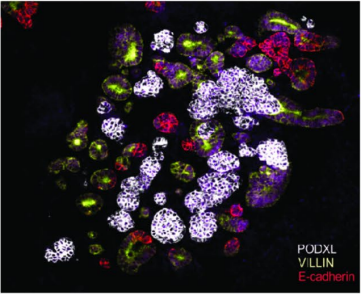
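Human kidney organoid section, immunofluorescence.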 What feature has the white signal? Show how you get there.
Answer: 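Glomerular. The white signal fills compact, rounded clusters of cells. These clusters have no open central lumen.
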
